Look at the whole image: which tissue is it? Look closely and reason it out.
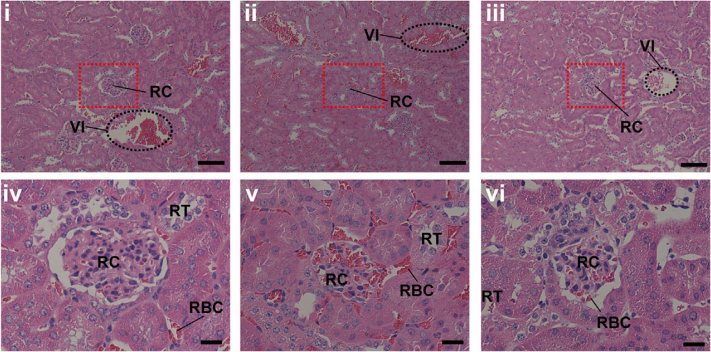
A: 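Kidney. Rounded tufts of capillaries sit among many cross-sectioned tubules. Tubules are lined by cuboidal cells with pink cytoplasm. Veins filled with red blood cells run between the tubules.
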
